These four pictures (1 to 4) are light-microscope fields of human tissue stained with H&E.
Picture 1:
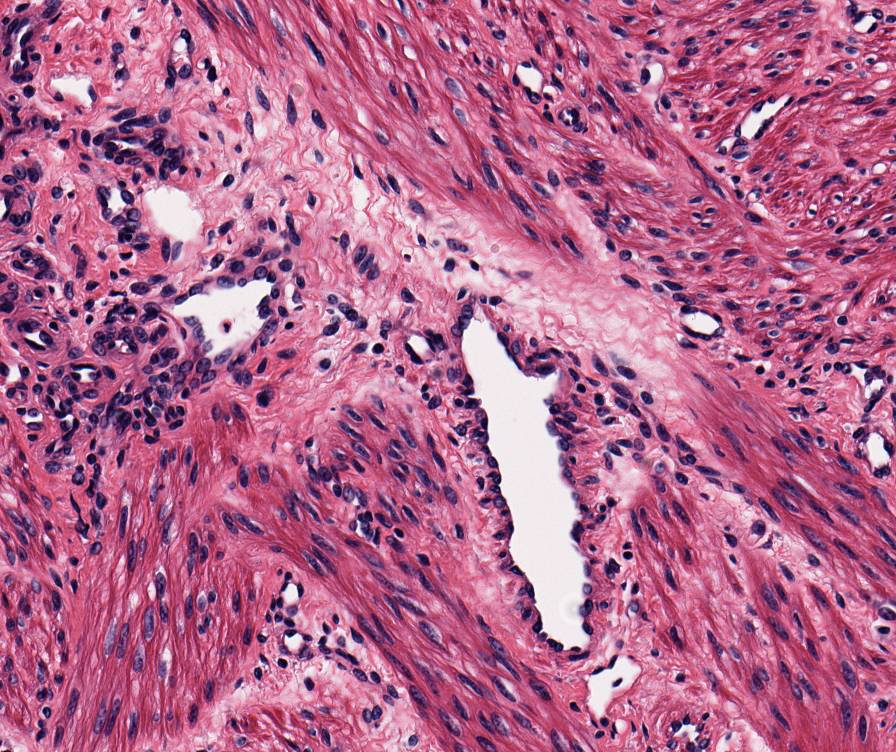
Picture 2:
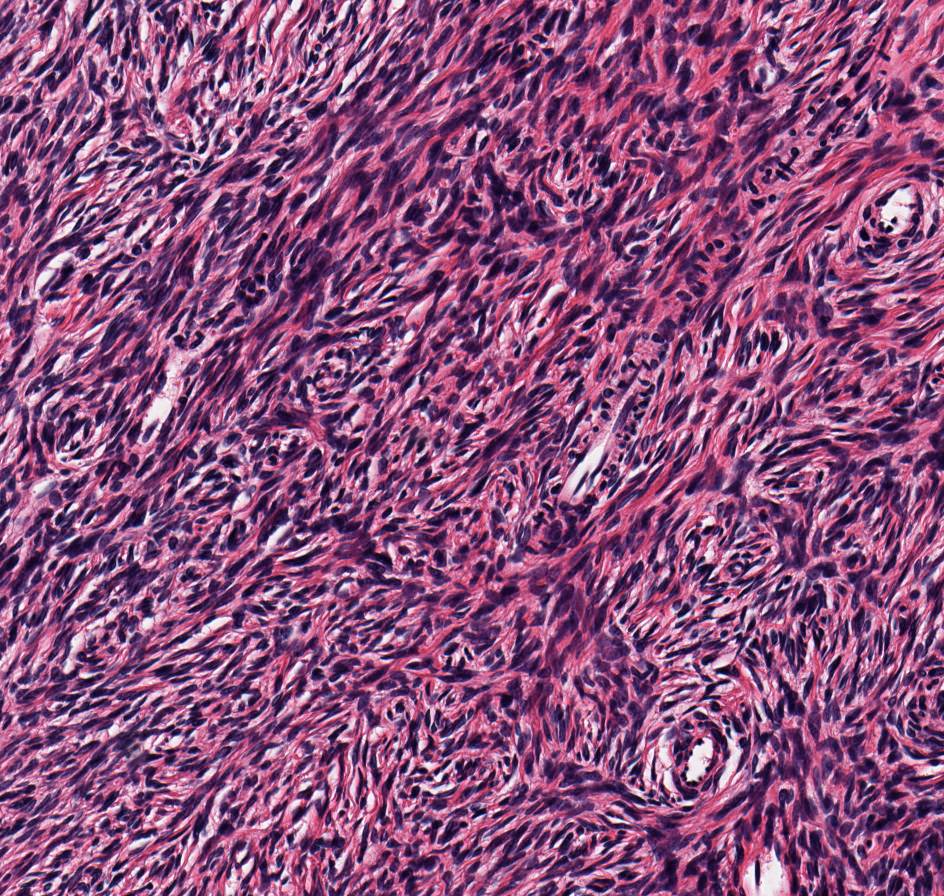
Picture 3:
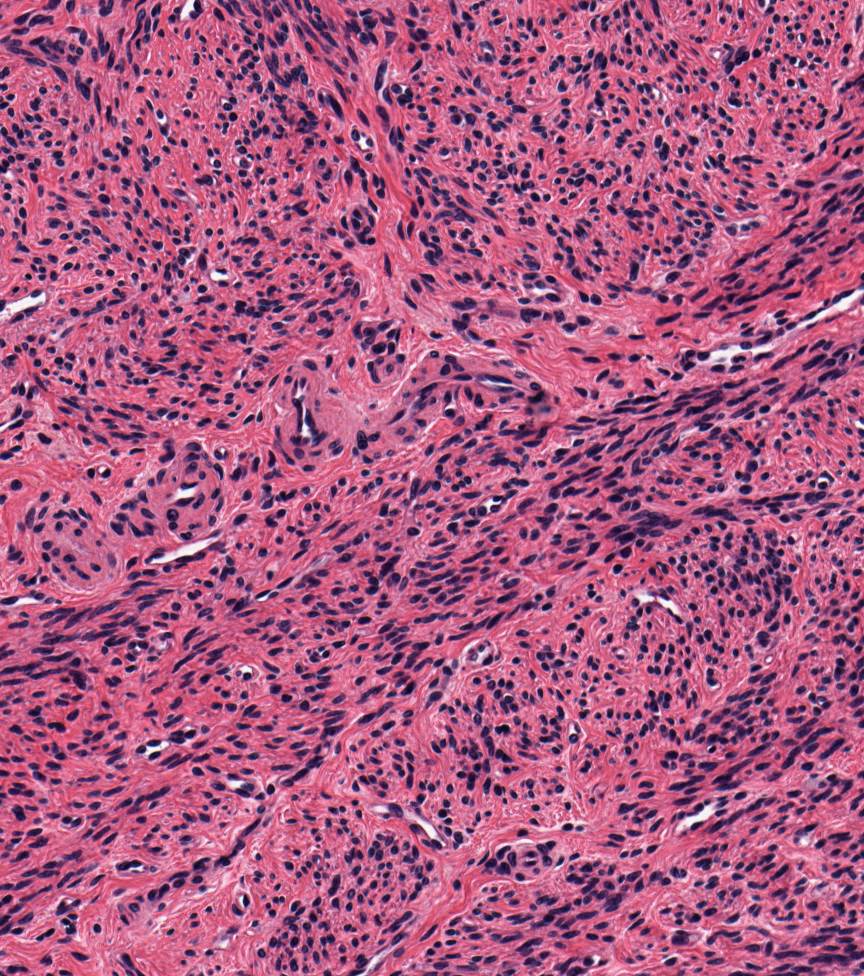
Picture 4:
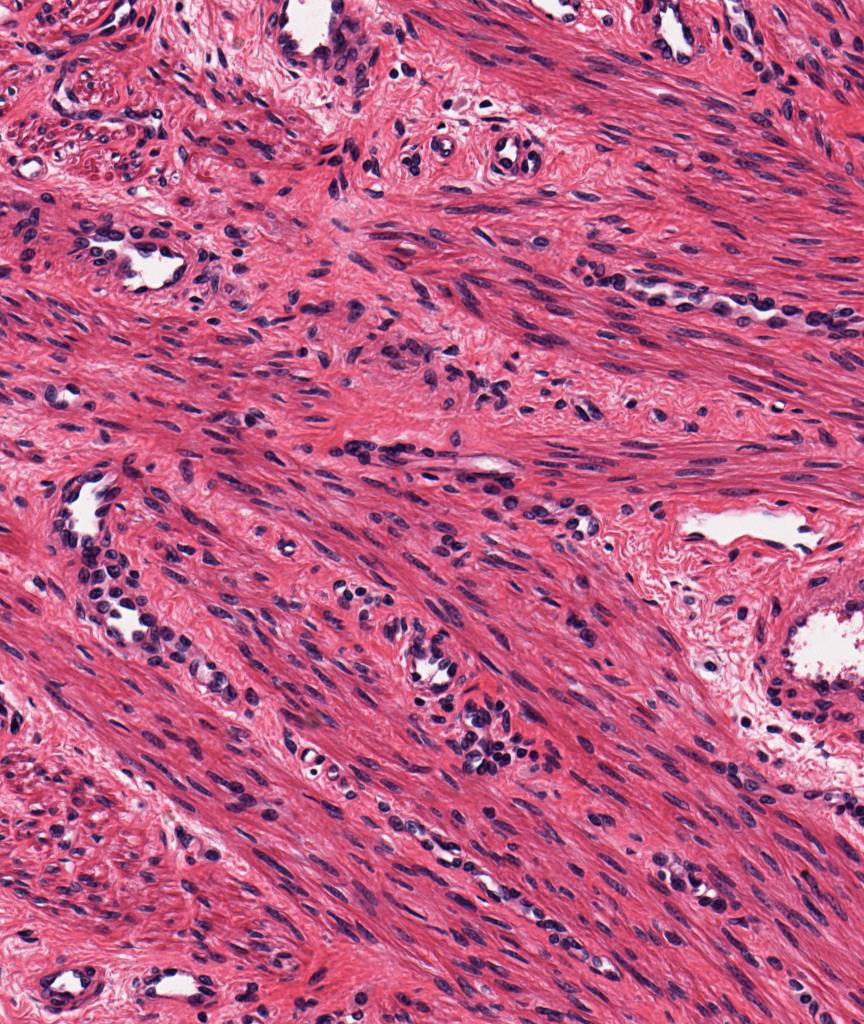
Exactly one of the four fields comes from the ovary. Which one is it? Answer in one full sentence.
The one that comes from the ovary is picture 2.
